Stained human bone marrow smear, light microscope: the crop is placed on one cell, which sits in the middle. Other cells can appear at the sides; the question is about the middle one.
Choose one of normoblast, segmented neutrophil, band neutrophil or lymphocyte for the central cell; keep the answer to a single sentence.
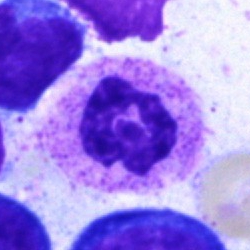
The cell at the centre of the field is a segmented neutrophil.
